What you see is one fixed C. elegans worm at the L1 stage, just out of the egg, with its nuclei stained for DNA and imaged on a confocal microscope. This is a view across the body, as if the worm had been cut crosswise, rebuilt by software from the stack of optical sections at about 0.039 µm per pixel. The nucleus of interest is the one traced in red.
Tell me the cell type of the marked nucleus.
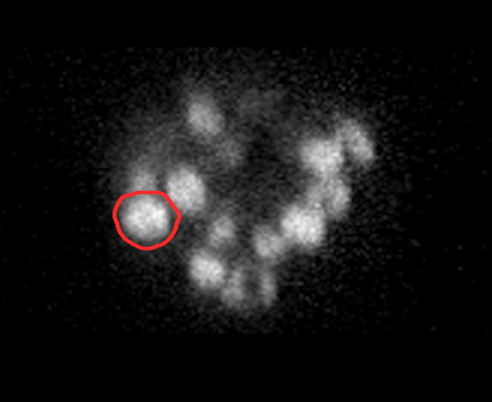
neuron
